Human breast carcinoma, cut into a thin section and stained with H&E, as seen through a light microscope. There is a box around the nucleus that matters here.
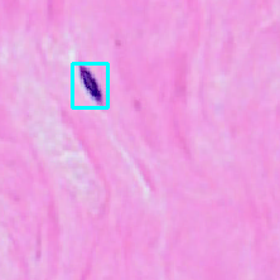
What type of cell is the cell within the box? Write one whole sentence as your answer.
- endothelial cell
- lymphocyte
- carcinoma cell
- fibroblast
Microscopically, the cell within the box is categorized as a fibroblast.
